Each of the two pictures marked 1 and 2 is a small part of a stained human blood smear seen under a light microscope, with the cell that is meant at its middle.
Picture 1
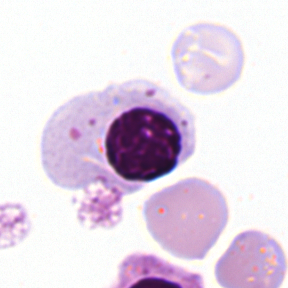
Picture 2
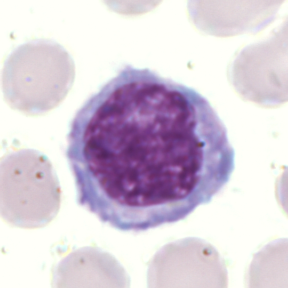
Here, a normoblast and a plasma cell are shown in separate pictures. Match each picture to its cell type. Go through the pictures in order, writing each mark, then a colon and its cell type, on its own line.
1: normoblast
2: plasma cell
